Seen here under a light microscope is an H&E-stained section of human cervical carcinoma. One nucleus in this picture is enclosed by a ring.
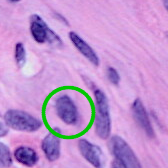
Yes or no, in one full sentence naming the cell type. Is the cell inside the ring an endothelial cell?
No, the cell inside the ring is a fibroblast and should not be read as an endothelial cell.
